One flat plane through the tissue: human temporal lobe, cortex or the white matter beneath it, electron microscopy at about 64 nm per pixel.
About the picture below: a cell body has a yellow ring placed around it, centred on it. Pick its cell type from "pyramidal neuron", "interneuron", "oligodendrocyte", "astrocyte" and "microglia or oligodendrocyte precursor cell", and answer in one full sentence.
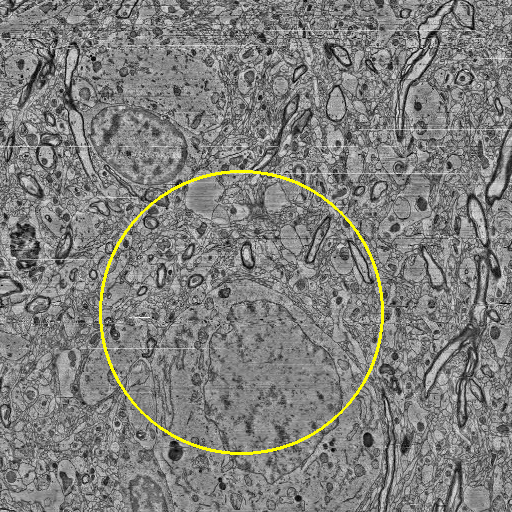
In the picture, a pyramidal neuron is the cell sitting at the centre of the yellow ring.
